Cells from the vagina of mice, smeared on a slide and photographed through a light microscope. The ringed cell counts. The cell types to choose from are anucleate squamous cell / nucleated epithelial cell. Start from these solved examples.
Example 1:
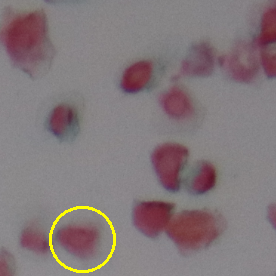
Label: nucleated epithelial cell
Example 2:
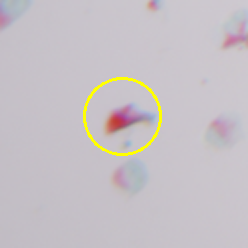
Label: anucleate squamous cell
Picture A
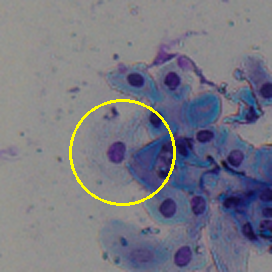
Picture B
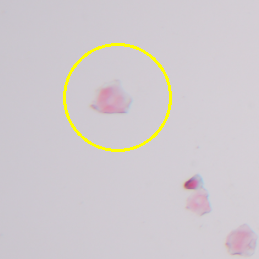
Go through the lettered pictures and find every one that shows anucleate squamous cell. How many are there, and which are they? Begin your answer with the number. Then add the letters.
1: B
